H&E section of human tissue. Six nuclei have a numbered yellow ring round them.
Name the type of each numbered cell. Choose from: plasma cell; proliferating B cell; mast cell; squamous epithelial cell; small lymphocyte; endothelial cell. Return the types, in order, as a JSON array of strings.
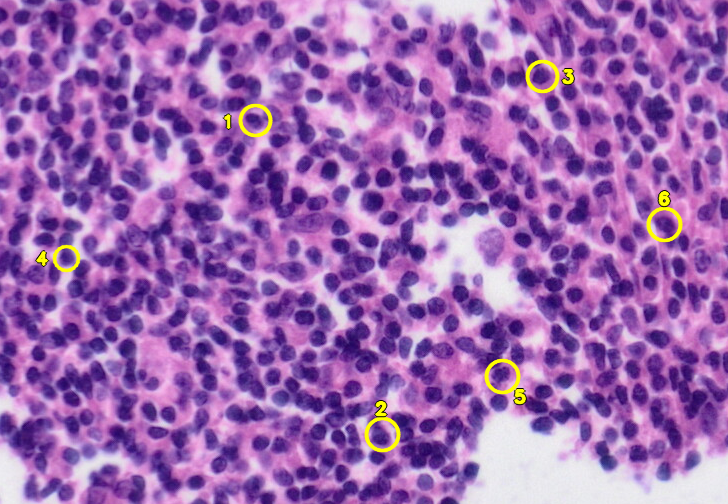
["small lymphocyte", "small lymphocyte", "plasma cell", "small lymphocyte", "small lymphocyte", "plasma cell"]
